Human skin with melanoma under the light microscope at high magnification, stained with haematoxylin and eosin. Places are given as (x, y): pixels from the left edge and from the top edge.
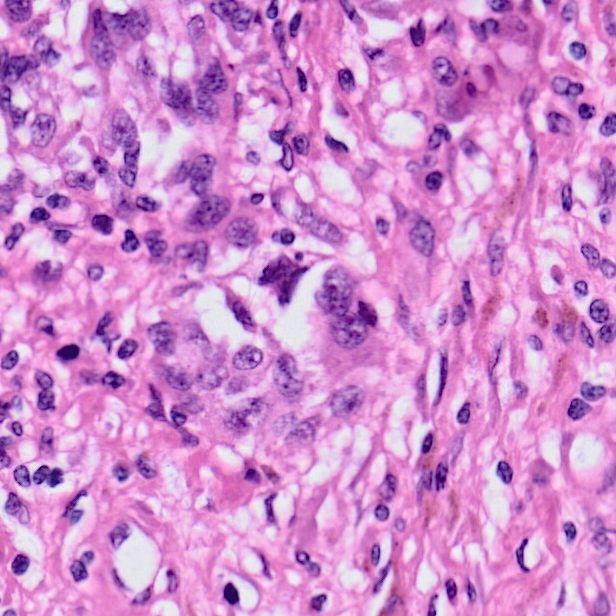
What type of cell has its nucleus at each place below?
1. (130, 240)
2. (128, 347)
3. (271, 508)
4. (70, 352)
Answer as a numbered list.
1. lymphocyte
2. lymphocyte
3. fibroblast or myofibroblast
4. plasma cell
